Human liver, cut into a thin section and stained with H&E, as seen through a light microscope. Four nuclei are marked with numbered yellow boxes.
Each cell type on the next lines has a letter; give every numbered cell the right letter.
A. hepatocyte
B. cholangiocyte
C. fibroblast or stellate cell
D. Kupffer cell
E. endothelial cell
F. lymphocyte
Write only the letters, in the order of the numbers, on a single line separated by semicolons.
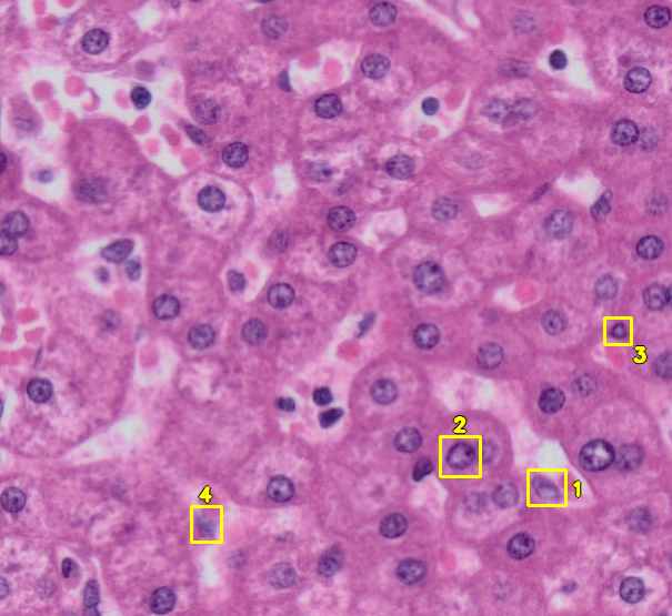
D; A; C; E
